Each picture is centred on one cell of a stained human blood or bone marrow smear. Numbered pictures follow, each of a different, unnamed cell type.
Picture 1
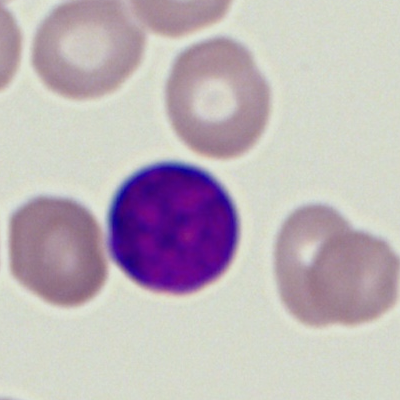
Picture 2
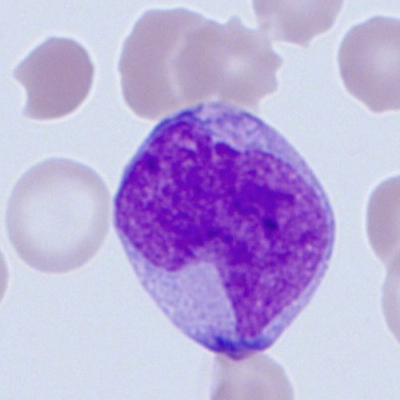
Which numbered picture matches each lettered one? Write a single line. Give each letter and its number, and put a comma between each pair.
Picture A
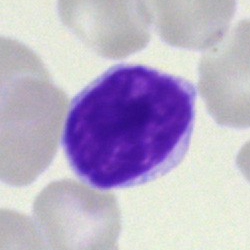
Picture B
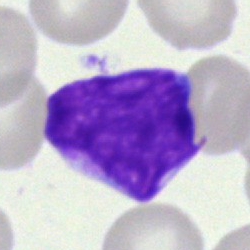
A 1, B 2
